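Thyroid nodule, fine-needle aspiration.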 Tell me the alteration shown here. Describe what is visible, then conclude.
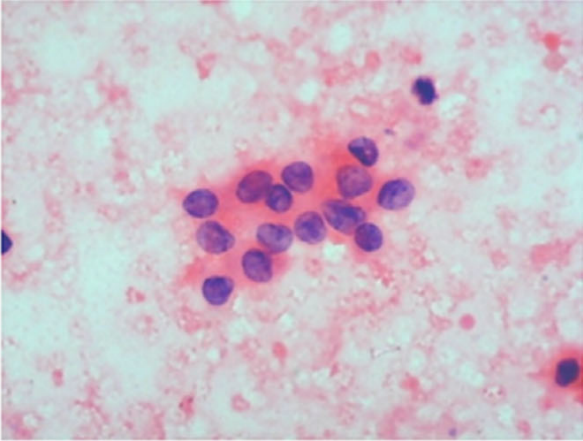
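Cytological atypia. A small cohesive cluster of cells with enlarged oval nuclei. Nuclei vary somewhat in size and some overlap.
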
